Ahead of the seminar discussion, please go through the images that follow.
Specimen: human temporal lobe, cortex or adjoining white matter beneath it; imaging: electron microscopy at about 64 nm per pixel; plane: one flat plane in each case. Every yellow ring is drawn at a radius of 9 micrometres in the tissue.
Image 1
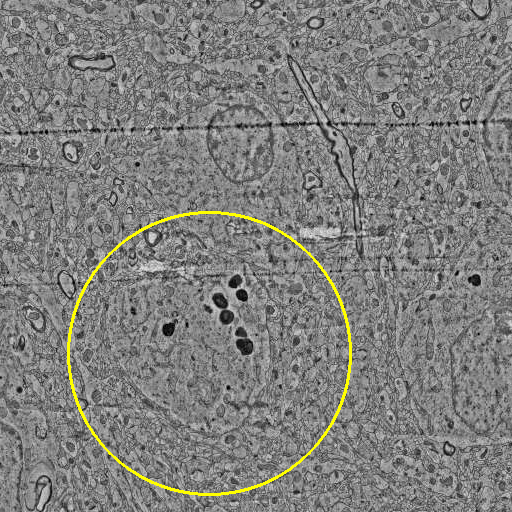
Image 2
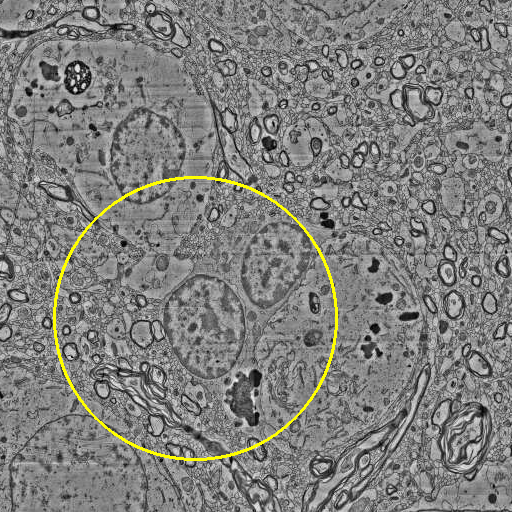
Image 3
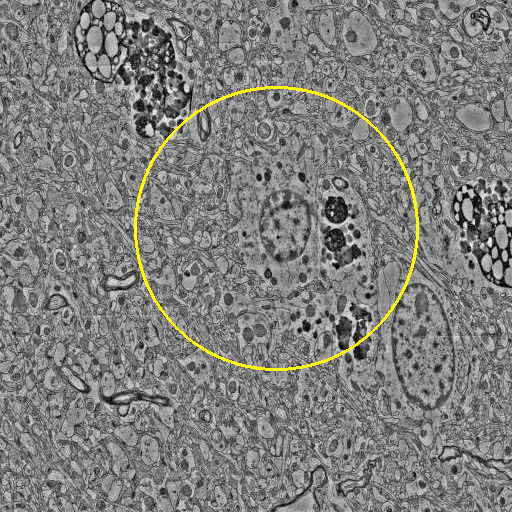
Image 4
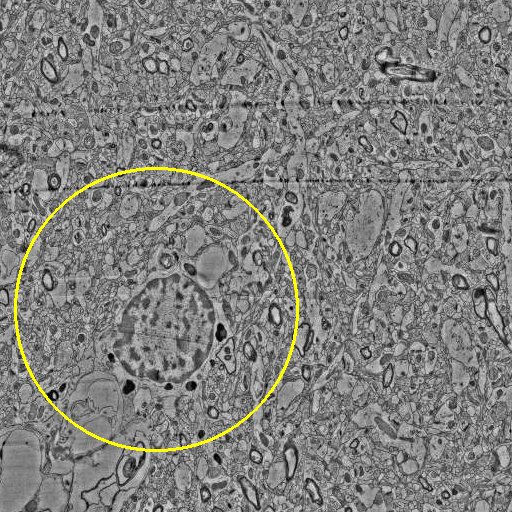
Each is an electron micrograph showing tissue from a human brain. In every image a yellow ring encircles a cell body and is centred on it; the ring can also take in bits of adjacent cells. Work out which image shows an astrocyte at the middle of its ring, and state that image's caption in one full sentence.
In Image 3, the ring's centre holds the cell you are looking for.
